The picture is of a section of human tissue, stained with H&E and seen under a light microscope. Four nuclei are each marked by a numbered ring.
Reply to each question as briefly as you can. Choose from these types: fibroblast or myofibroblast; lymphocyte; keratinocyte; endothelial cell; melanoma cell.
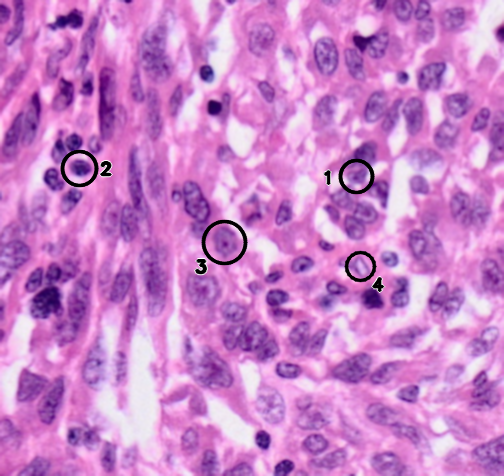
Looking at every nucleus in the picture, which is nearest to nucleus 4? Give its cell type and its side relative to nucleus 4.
an endothelial cell to the left of nucleus 4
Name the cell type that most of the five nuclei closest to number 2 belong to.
lymphocyte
